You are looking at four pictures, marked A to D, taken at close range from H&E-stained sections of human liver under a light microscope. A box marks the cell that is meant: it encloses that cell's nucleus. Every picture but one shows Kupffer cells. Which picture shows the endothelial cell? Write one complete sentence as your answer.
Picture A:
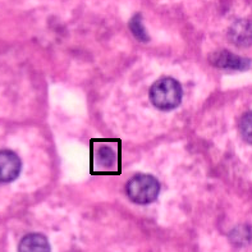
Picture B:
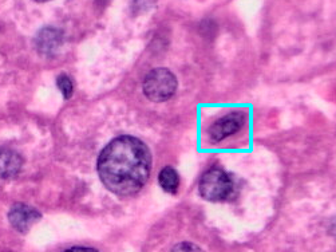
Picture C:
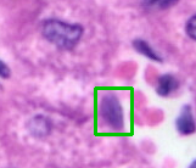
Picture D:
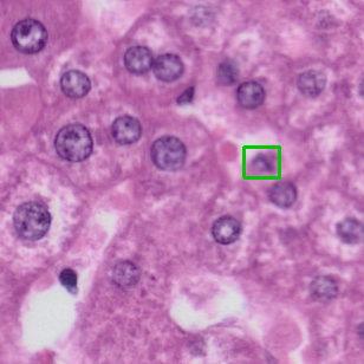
The endothelial cell is the one in picture C.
